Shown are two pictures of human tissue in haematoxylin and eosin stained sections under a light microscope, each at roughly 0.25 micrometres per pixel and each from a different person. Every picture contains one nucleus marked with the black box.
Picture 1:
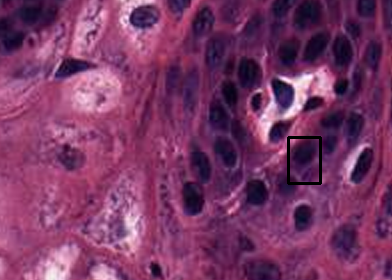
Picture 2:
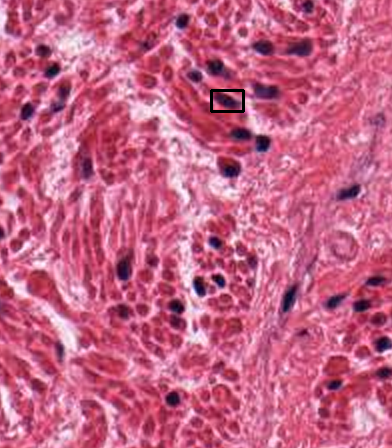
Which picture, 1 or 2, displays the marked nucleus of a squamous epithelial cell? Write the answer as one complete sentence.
The marked nucleus seen in picture 1 is that of a squamous epithelial cell.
